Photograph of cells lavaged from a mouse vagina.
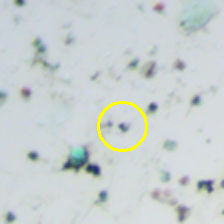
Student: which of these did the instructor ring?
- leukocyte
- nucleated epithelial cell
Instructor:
The cell I ringed is a leukocyte.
